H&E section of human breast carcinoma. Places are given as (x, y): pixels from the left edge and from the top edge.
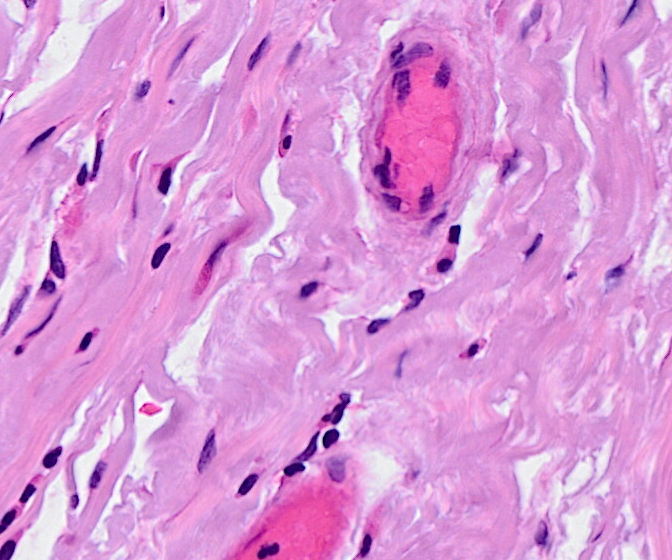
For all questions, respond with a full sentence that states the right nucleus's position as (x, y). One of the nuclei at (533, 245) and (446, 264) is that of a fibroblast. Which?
Lying within a fibroblast is the nucleus at (533, 245).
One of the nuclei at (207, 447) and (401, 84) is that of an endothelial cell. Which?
The cell to which the nucleus at (401, 84) belongs is an endothelial cell.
